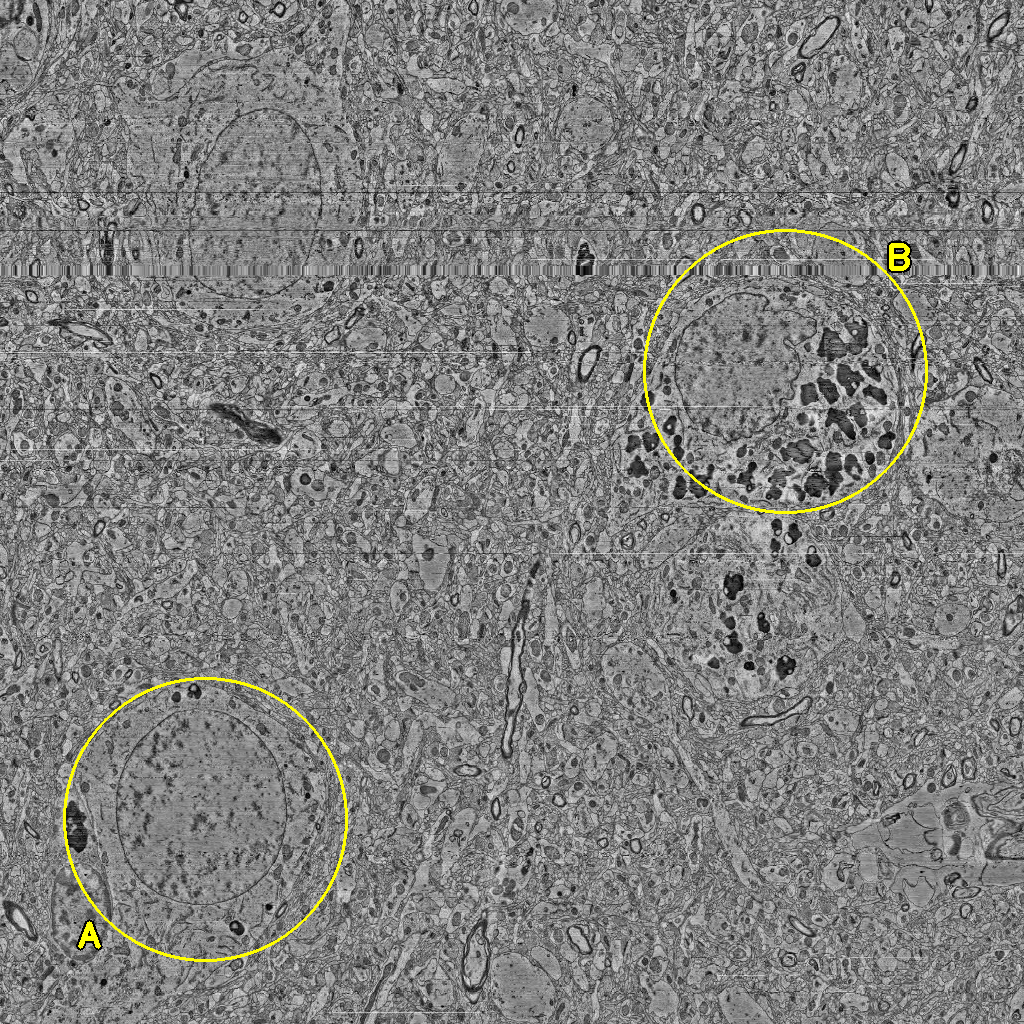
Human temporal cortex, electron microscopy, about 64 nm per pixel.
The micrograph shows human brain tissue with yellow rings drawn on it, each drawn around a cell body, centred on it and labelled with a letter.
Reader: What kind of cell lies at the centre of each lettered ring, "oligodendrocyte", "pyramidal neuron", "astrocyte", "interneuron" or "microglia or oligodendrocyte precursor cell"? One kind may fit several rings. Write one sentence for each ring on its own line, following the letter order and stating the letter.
At the centre of ring A lies a pyramidal neuron.
At the centre of ring B lies an interneuron.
